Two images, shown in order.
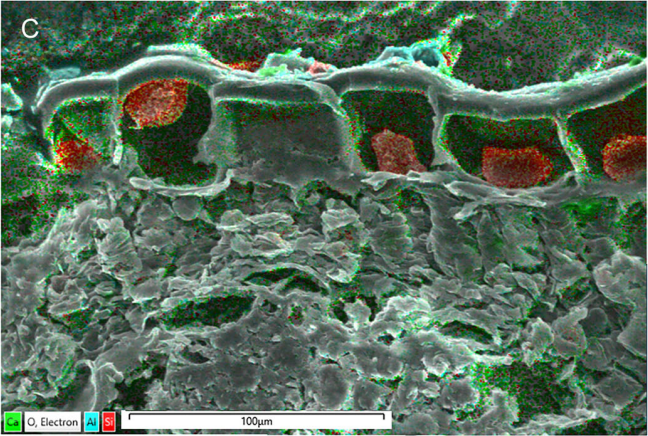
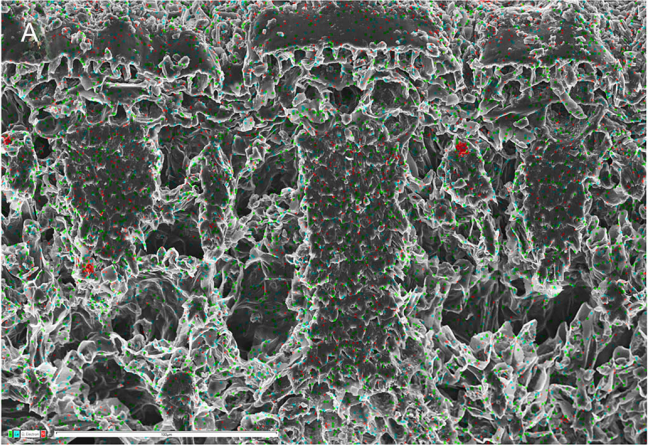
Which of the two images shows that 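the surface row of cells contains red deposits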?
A: The first image.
